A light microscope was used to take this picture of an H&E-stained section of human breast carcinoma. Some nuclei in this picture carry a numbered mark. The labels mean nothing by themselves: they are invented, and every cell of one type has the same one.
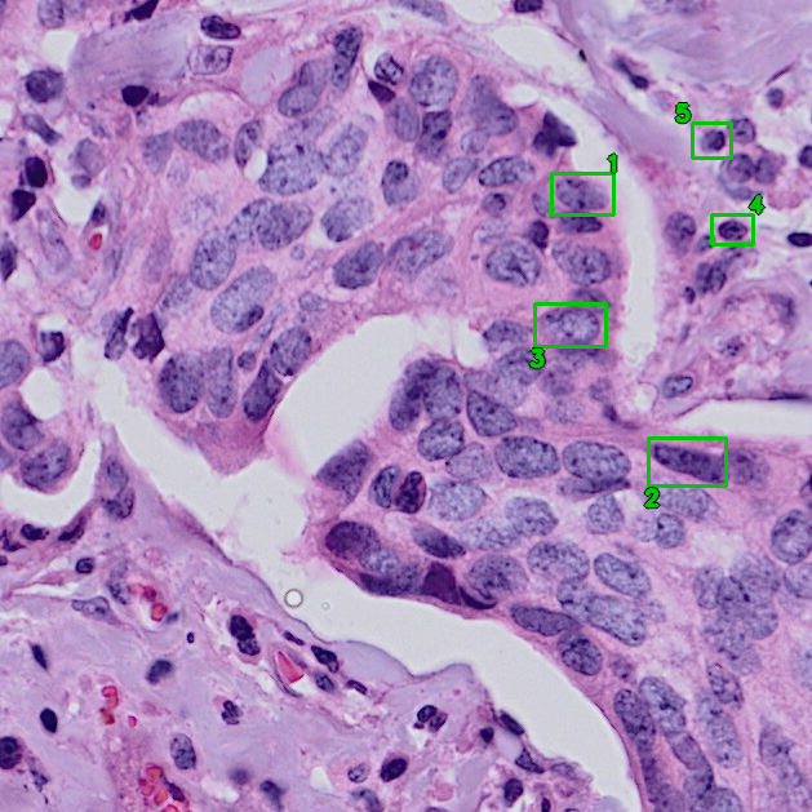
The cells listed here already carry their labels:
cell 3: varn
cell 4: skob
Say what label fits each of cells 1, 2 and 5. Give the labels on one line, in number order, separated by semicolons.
varn; varn; skob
